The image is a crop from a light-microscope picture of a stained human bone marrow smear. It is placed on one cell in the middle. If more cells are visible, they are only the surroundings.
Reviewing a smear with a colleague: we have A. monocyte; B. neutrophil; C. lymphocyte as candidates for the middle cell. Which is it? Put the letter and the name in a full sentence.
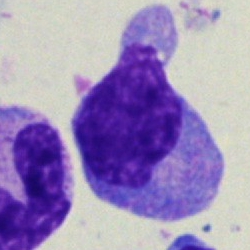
It is a monocyte that occupies the centre of the crop, so option A is correct.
